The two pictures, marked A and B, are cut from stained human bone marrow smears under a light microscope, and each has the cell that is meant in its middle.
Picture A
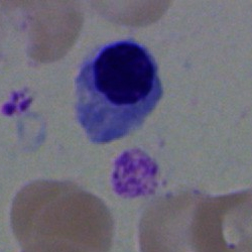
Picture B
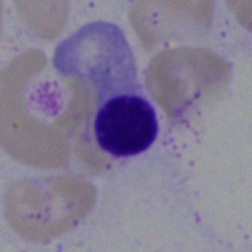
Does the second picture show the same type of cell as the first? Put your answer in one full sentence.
Yes, both cells are erythroblasts.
